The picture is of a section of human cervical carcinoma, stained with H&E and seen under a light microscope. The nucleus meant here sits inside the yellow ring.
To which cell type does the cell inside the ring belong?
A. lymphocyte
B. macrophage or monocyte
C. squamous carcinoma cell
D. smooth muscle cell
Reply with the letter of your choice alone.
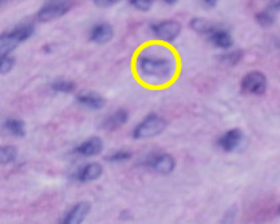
D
